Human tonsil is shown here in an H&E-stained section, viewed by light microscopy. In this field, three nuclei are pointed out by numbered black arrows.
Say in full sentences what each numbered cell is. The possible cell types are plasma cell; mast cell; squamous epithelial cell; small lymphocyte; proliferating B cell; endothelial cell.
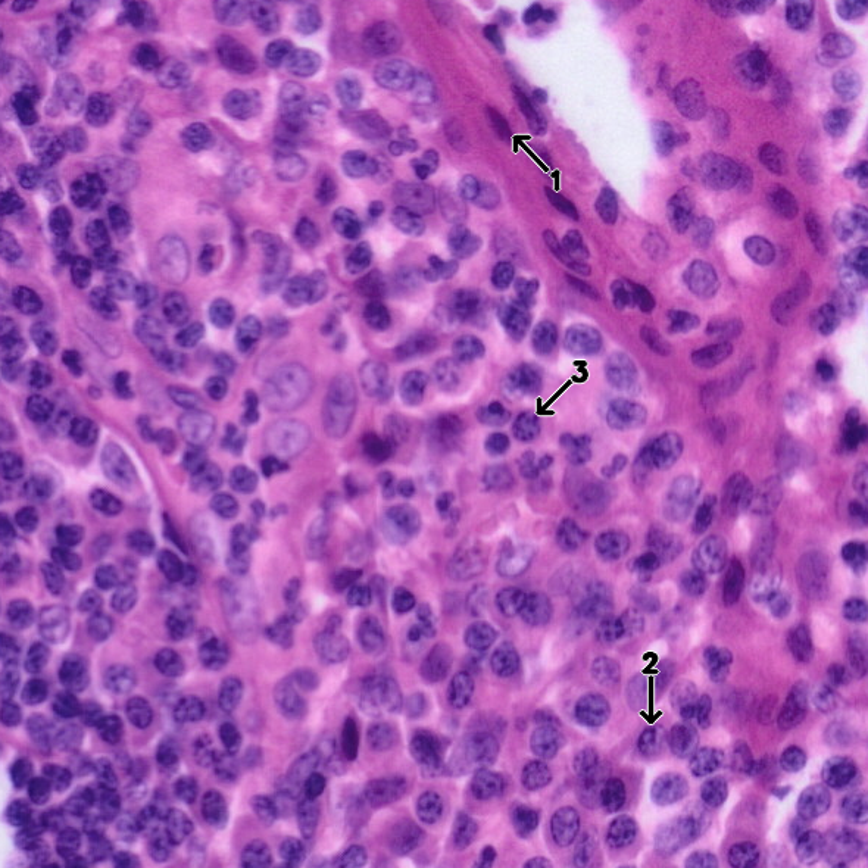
Cell 1 is a squamous epithelial cell, cell 2 is a plasma cell and cell 3 is a plasma cell.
